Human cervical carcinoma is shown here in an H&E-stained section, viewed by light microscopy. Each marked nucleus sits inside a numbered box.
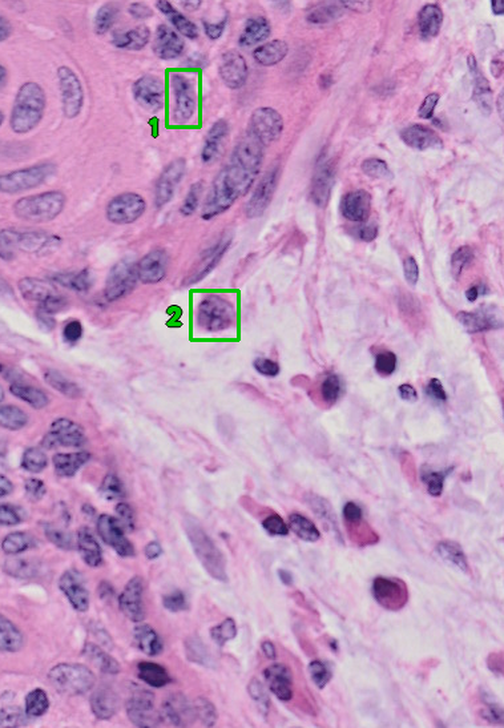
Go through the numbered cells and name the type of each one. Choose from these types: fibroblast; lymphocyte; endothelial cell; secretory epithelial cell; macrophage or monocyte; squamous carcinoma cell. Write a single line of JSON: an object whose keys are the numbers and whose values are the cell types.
{"1": "squamous carcinoma cell", "2": "macrophage or monocyte"}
